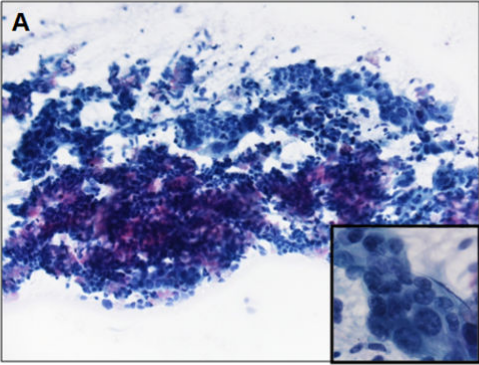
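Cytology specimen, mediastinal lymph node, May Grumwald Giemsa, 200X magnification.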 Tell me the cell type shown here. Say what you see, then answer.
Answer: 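Cohesive three-dimensional clusters of large cells with crowded, overlapping nuclei. In the inset the cells have large round nuclei with prominent nucleoli. Many smaller dark single cells lie around the clusters. The answer: adenocarcinoma.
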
